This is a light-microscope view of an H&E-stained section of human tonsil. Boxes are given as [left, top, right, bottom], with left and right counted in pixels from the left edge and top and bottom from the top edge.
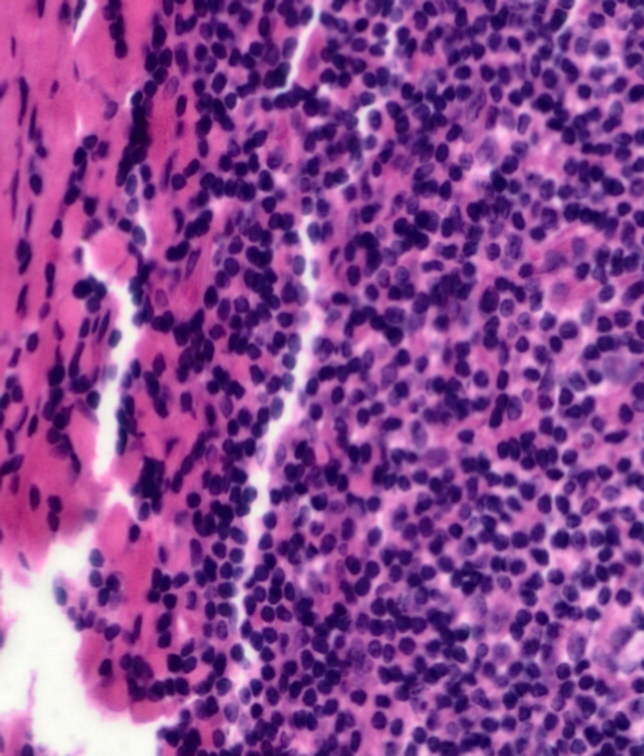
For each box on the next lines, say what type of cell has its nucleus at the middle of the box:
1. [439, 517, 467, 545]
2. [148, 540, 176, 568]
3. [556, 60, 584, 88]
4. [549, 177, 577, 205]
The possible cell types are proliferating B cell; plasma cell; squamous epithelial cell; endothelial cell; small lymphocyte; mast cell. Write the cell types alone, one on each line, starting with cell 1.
small lymphocyte
endothelial cell
small lymphocyte
small lymphocyte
